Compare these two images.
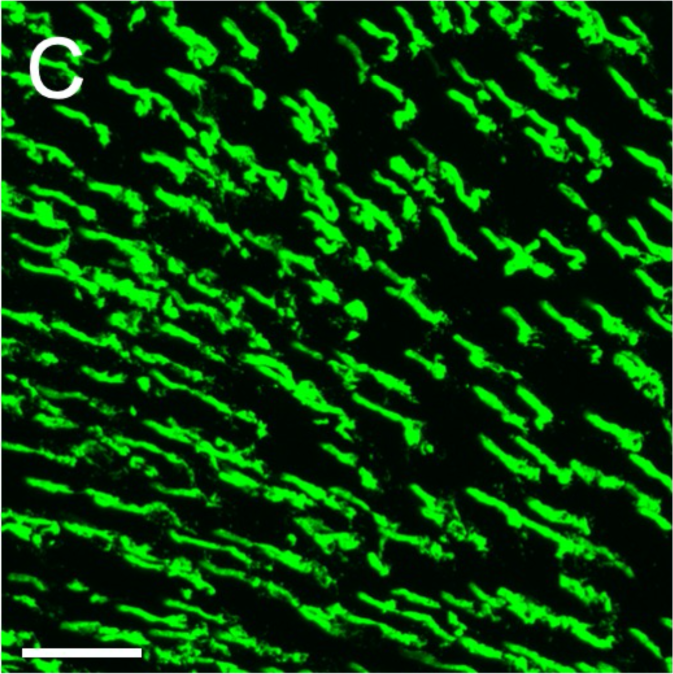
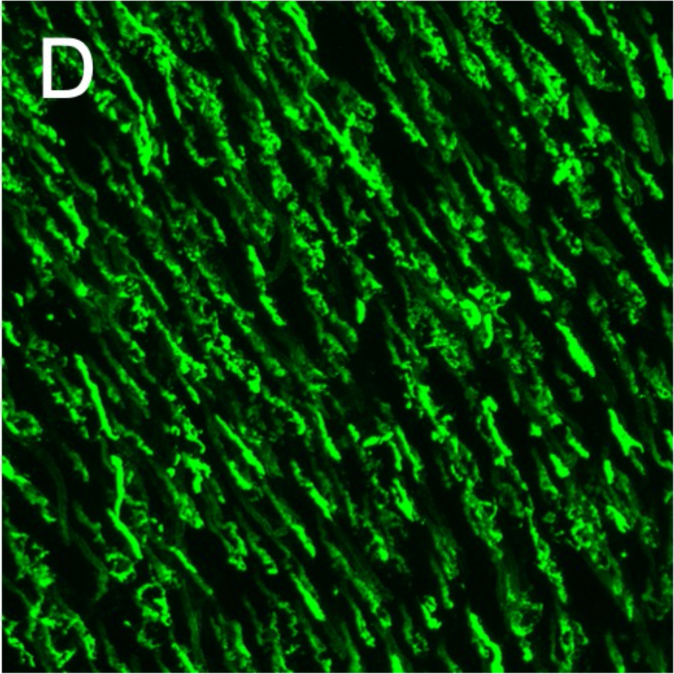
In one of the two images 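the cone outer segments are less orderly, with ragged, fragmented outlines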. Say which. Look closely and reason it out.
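Second image: green segments look streaky and granular, with frayed, irregular edges and faint strands between them. First image: green segments are compact, discrete and fairly evenly spaced with clean dark gaps.
Hence: the second image.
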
